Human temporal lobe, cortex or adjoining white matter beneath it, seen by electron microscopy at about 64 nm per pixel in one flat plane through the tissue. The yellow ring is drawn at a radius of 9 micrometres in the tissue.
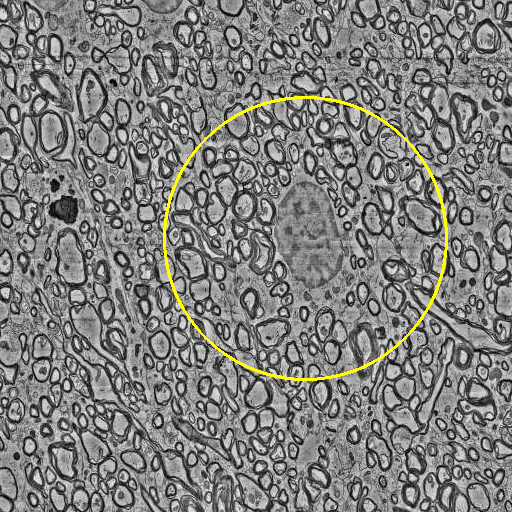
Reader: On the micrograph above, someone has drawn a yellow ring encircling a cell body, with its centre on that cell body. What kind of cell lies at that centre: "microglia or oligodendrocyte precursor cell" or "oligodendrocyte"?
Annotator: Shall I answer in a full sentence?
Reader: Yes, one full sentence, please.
Here an oligodendrocyte sits at the centre of the yellow ring drawn on the micrograph.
